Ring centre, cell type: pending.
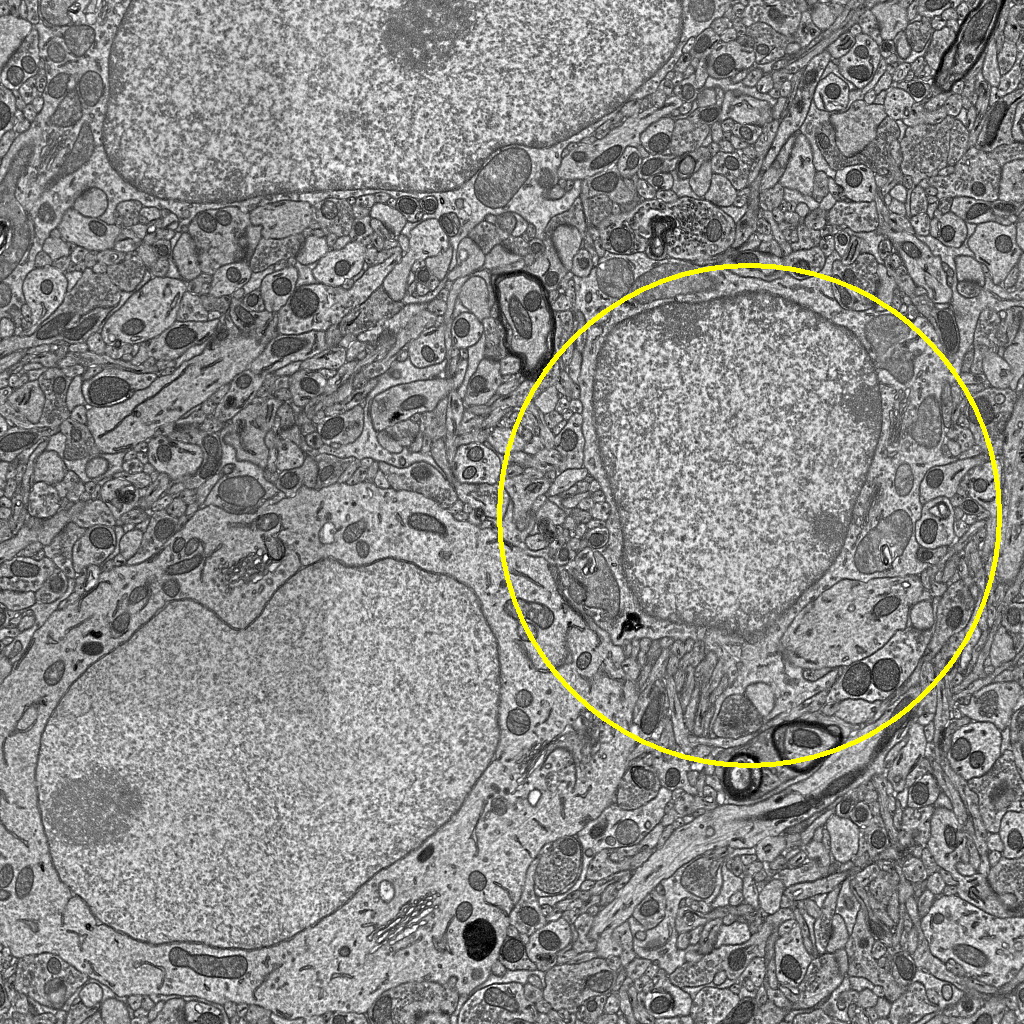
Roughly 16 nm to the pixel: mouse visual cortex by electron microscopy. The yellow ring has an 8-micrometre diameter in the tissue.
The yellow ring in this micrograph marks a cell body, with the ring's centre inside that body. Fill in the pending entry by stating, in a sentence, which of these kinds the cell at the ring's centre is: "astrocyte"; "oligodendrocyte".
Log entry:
The cell at the ring's centre is recorded as an astrocyte.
